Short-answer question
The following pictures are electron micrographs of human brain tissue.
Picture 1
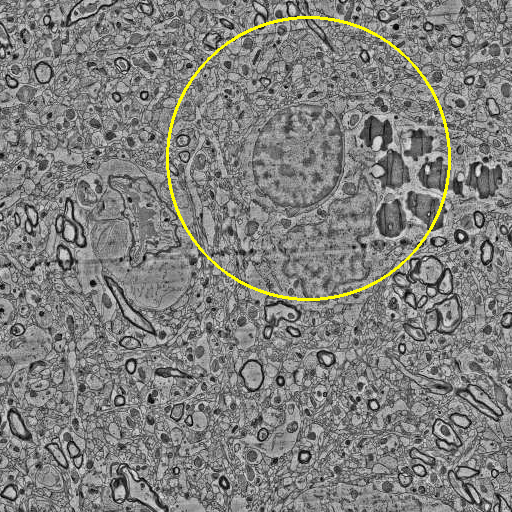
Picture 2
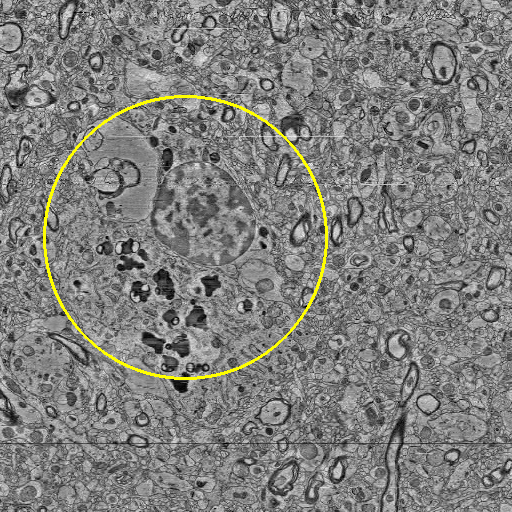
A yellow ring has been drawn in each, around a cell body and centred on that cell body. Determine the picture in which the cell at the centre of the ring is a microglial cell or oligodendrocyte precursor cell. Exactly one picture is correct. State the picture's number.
2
